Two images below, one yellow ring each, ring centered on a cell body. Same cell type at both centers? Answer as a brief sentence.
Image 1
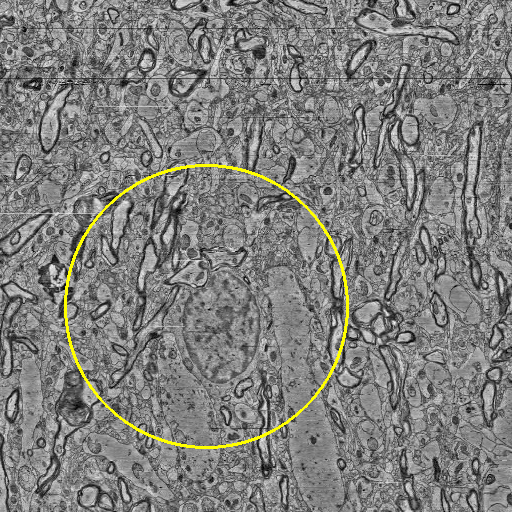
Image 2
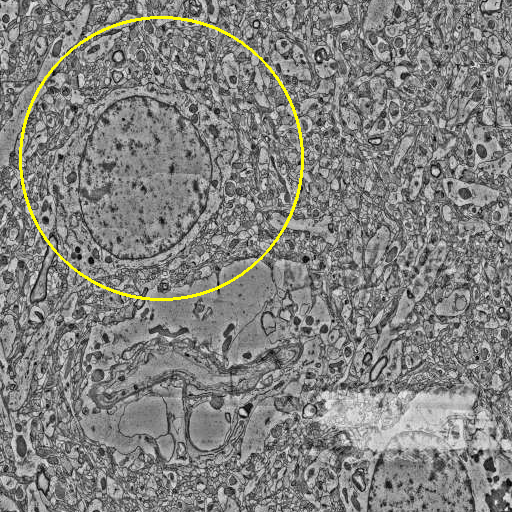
No, the cells are of two separate types.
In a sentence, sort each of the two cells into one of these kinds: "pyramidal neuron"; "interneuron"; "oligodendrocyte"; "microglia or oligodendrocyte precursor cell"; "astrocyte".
The first of the two cells is an oligodendrocyte, and the second is a pyramidal neuron.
